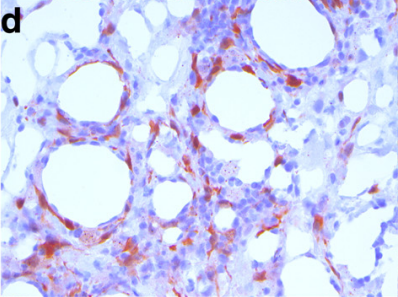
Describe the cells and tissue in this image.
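This section shows fat infiltrated by lymphocytes, with large round clear fat spaces separated by strands of cells. Small cells with blue, round to irregular nuclei crowd between and around the fat spaces. Brown-stained cells are scattered through the infiltrate, many of them elongated and lying along the rims of the fat spaces. Most of the small round cells with blue nuclei show no brown colour.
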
